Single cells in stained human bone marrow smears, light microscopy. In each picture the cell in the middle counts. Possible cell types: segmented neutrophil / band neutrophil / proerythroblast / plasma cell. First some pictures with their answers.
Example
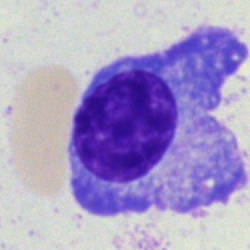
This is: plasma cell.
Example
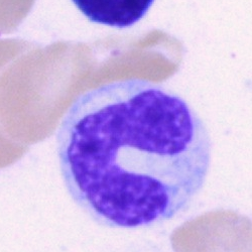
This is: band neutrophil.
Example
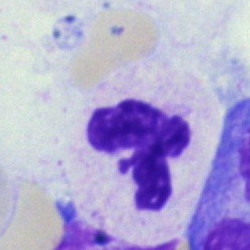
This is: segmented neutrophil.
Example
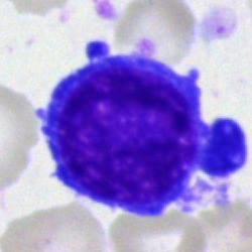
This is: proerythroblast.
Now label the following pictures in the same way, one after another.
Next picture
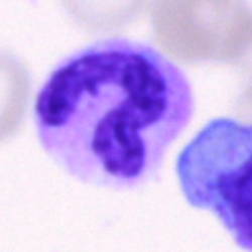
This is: band neutrophil.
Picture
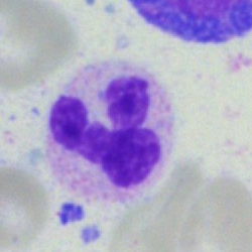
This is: segmented neutrophil.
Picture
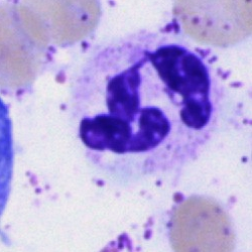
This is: segmented neutrophil.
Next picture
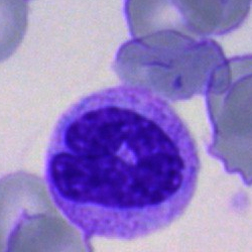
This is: band neutrophil.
